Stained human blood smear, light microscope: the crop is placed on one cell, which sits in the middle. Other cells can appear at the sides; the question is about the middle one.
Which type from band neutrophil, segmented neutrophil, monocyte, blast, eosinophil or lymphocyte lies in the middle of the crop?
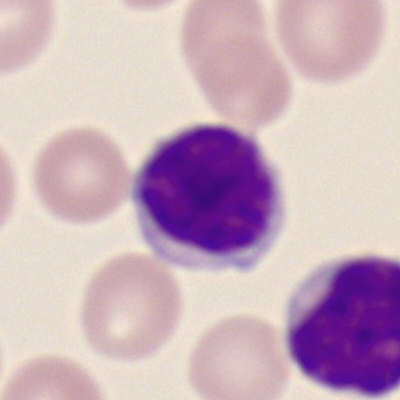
lymphocyte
